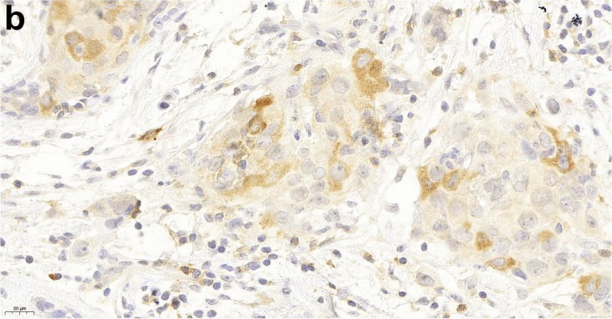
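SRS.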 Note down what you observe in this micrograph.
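This shows groups of tumor cells with surrounding stroma that contains scattered inflammatory cells. The tumor cells are large with round pale nuclei and prominent nucleoli, and their cytoplasm is stained brown in a patchy way, strongest in some cells at the edges of the groups. In the stroma lie many small cells with compact dark nuclei, and several of these carry dark brown stain in their small rim of cytoplasm. Spindle-shaped stromal cells with elongated nuclei run between the groups and stay unstained.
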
